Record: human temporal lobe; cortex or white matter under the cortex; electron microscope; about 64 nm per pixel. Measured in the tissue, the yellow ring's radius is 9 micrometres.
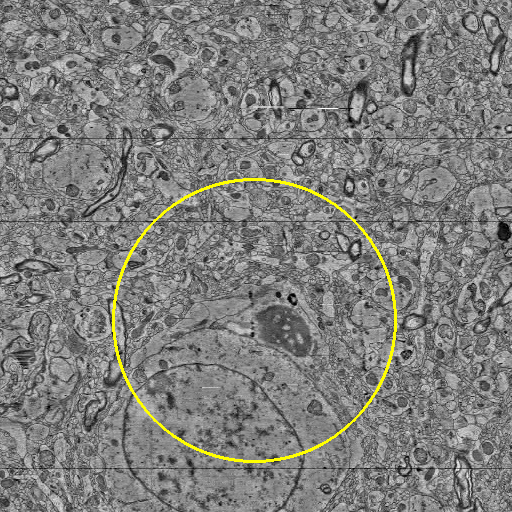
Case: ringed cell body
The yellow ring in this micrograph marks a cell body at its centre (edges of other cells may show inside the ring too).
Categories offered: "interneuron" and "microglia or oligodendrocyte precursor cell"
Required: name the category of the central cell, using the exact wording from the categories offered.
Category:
microglia or oligodendrocyte precursor cell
